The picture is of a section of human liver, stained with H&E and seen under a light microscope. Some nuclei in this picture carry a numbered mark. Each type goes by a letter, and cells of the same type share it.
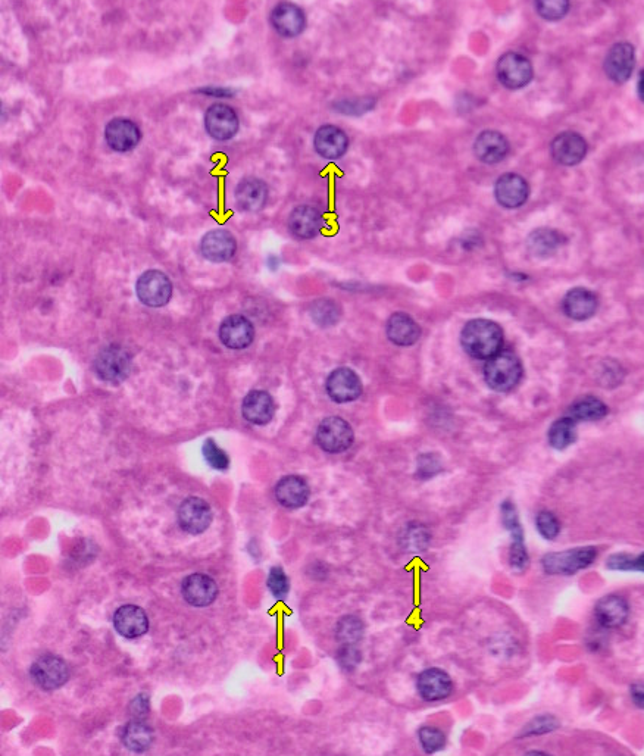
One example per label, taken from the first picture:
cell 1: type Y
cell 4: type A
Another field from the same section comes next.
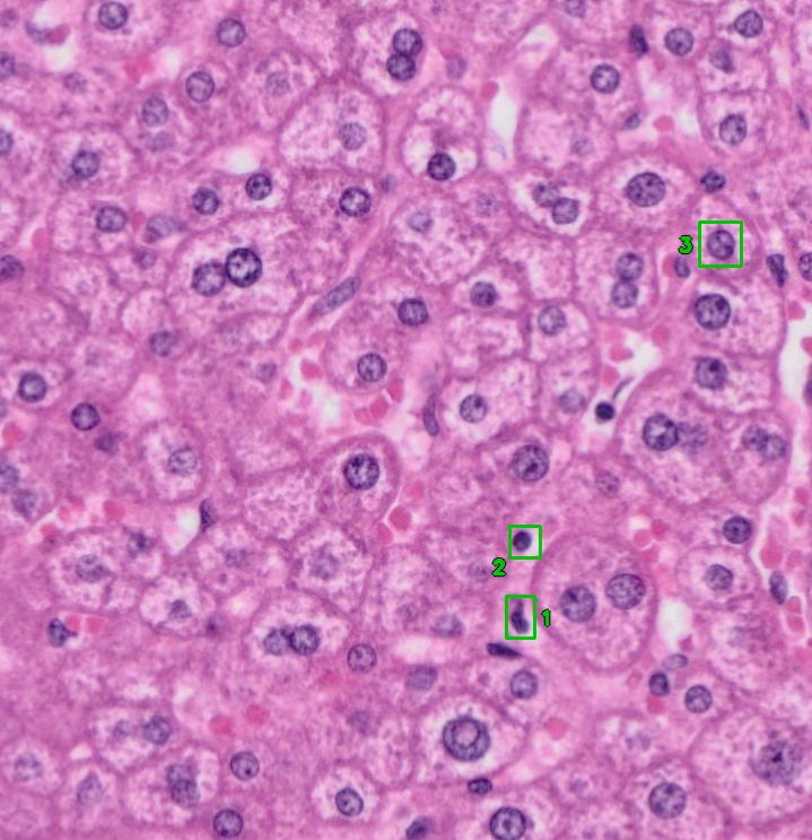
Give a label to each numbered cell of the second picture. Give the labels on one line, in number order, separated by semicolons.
type Y; type Y; type A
